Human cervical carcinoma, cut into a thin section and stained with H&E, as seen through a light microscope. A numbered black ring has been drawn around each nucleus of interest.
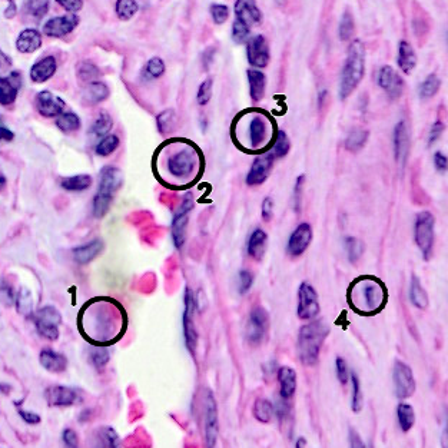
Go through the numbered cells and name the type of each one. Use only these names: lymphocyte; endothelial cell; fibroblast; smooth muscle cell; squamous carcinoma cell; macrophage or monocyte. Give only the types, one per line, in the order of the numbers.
endothelial cell
endothelial cell
lymphocyte
smooth muscle cell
